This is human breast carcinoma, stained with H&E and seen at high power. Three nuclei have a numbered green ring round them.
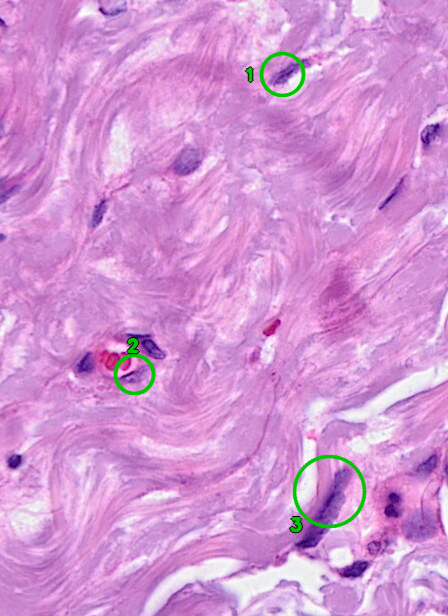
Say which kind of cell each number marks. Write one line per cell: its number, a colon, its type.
1: fibroblast
2: endothelial cell
3: fibroblast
